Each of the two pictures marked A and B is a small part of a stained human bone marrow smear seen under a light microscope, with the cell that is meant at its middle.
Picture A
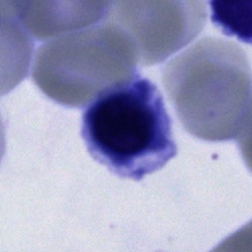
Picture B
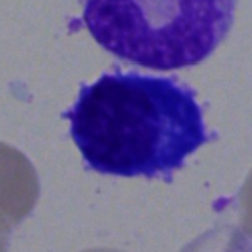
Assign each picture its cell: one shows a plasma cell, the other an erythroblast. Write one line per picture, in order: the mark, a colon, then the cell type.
A: erythroblast
B: plasma cell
